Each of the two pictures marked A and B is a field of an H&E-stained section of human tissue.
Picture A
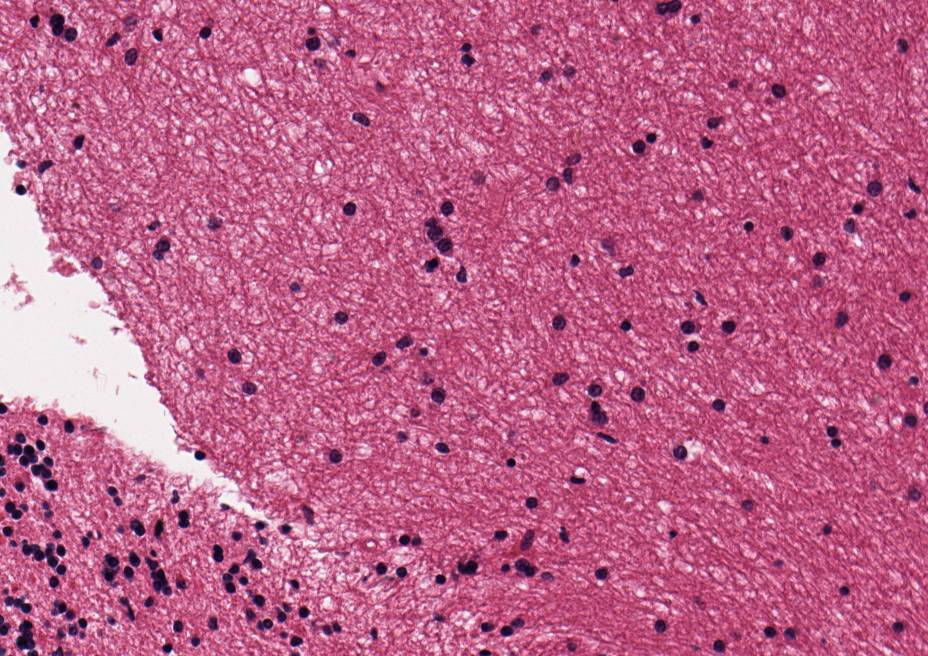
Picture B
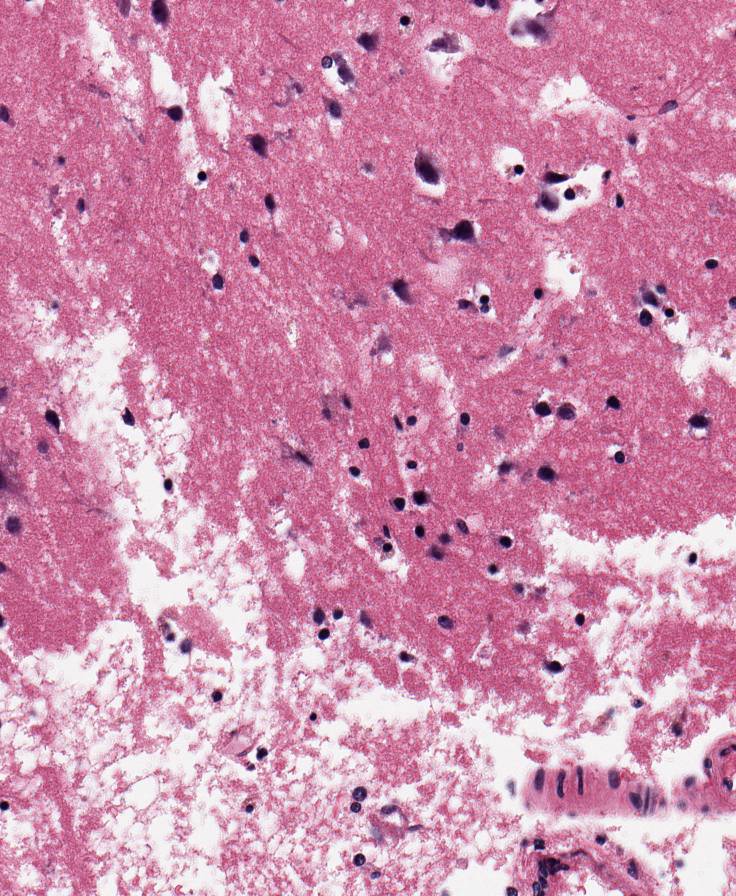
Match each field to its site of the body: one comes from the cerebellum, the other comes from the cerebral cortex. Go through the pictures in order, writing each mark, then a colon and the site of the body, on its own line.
A: cerebellum
B: cerebral cortex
